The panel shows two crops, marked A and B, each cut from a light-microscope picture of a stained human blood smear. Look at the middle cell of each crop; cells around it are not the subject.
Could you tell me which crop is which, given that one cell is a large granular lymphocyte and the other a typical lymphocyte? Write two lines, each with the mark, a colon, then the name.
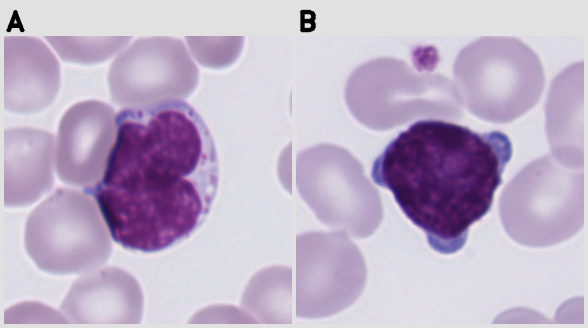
A: large granular lymphocyte
B: typical lymphocyte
